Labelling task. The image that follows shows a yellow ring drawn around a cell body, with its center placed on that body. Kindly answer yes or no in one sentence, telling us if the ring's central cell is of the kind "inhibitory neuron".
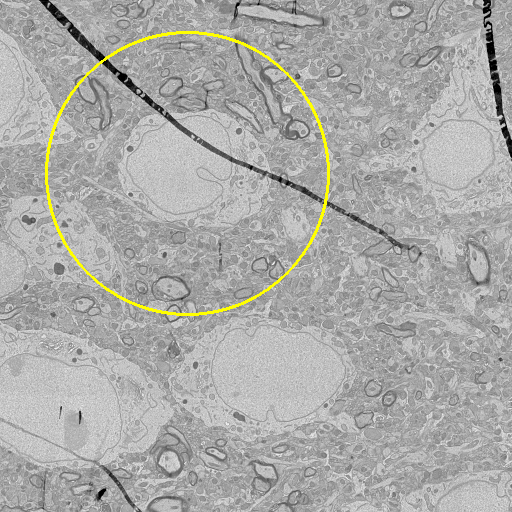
No, in this image the cell at the ring's center is of a different kind.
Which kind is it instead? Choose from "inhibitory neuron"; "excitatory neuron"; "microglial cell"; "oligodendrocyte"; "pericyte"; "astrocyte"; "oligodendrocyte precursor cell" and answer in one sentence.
That cell in the ring is an excitatory neuron instead.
